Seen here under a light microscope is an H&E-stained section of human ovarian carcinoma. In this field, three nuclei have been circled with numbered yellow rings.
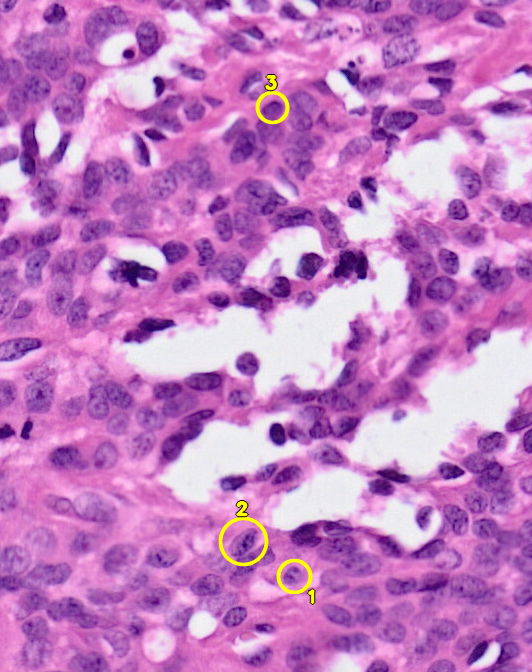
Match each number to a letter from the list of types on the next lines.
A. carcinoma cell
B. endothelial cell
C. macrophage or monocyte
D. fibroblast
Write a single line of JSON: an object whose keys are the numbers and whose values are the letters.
{"1": "C", "2": "C", "3": "A"}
